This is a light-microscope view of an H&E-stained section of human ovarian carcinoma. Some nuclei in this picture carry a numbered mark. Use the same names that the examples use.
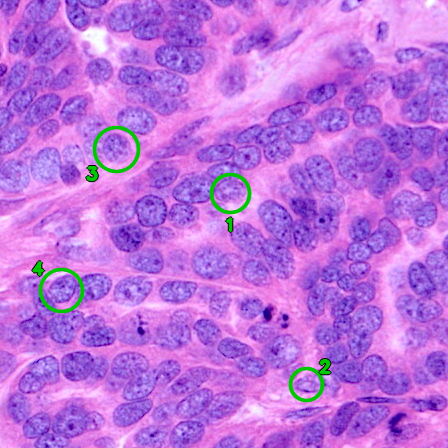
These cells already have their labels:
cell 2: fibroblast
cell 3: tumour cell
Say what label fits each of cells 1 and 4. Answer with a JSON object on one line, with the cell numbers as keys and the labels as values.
{"1": "tumour cell", "4": "tumour cell"}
